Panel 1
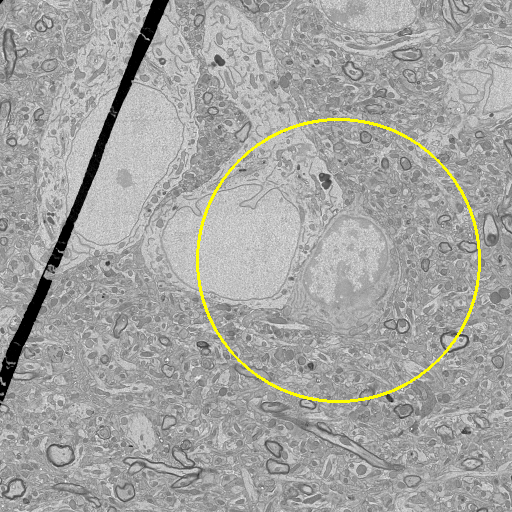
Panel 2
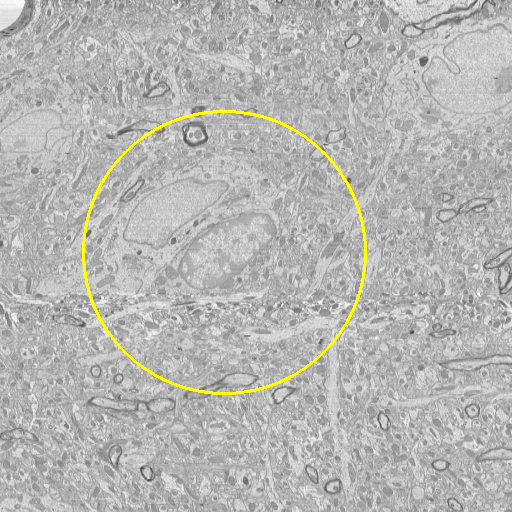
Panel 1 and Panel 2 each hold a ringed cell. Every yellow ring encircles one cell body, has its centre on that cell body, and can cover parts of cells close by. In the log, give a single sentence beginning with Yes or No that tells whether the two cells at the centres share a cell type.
Yes, in Panel 1 and Panel 2 the centred cells share a cell type.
